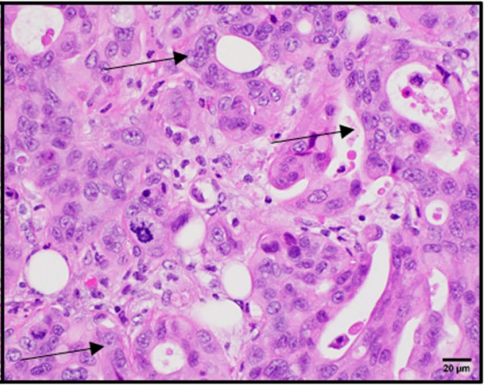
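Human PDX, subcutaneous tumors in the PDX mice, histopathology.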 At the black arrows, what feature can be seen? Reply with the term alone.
Irregular tubular structures.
